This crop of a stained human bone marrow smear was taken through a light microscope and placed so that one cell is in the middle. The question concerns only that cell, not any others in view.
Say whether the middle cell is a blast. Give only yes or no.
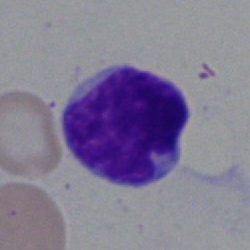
no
